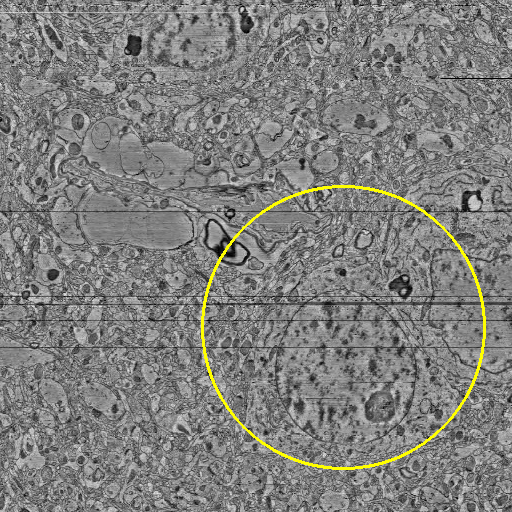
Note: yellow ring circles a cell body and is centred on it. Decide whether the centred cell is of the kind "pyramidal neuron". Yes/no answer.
Yes, the centred cell is of that kind.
